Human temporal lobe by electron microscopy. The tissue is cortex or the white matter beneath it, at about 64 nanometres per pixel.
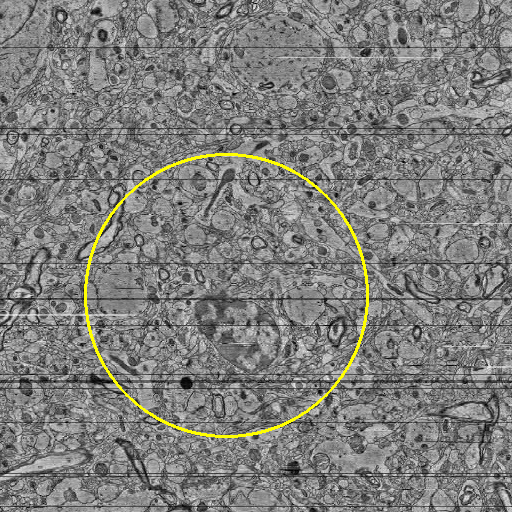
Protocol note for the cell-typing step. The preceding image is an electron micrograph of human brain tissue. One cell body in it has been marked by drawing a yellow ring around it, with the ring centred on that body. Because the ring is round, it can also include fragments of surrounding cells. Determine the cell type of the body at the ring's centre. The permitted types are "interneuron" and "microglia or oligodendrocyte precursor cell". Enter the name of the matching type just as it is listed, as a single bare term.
microglia or oligodendrocyte precursor cell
